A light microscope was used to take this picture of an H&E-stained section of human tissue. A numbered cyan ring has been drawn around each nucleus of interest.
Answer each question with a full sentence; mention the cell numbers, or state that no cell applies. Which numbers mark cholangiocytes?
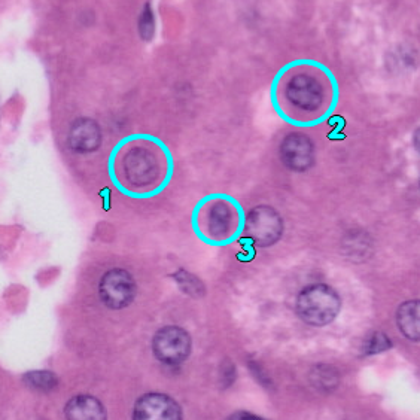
None of the numbered cells is one of the cholangiocytes.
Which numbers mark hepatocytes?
The cells that have numbers 1 and 2 are hepatocytes.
